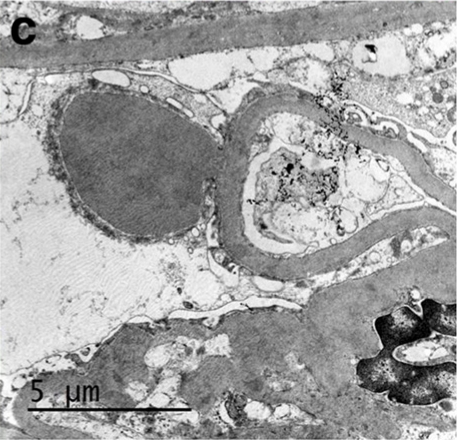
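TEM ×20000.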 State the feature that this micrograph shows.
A: hump-shaped deposits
